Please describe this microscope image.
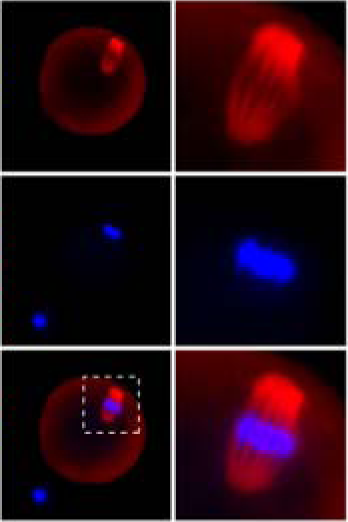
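These are a mature oocyte in metaphase of the second meiotic division, shown whole and enlarged. A barrel-shaped red spindle sits close to the cell edge, with the blue chromosomes lined up in a band across its middle, and a small separate blue body lies outside the oocyte.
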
